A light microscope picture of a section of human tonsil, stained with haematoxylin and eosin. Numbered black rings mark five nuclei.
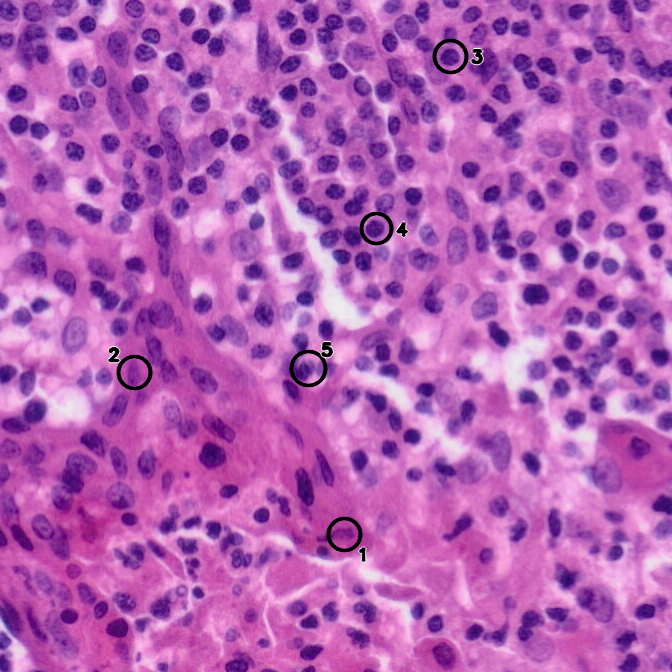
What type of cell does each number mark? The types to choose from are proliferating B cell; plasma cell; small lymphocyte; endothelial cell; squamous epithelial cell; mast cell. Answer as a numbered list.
1. squamous epithelial cell
2. squamous epithelial cell
3. plasma cell
4. plasma cell
5. squamous epithelial cell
